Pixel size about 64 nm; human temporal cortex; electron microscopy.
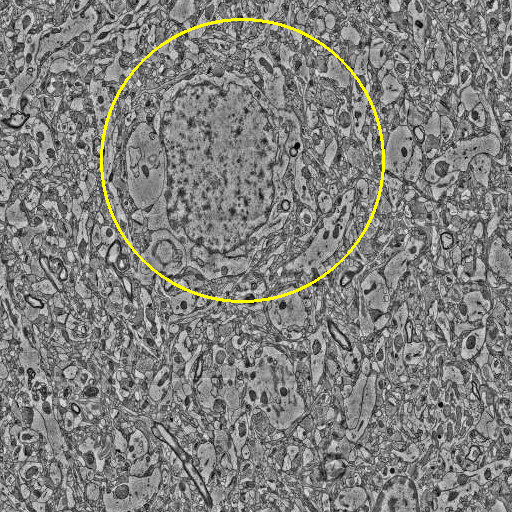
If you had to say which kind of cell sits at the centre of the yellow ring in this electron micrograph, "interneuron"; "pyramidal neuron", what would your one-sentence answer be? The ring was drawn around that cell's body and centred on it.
The cell sitting at the centre of the ring is an interneuron.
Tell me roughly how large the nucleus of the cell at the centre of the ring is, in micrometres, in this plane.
In this plane the nucleus spans approximately 11 by 8 micrometers.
